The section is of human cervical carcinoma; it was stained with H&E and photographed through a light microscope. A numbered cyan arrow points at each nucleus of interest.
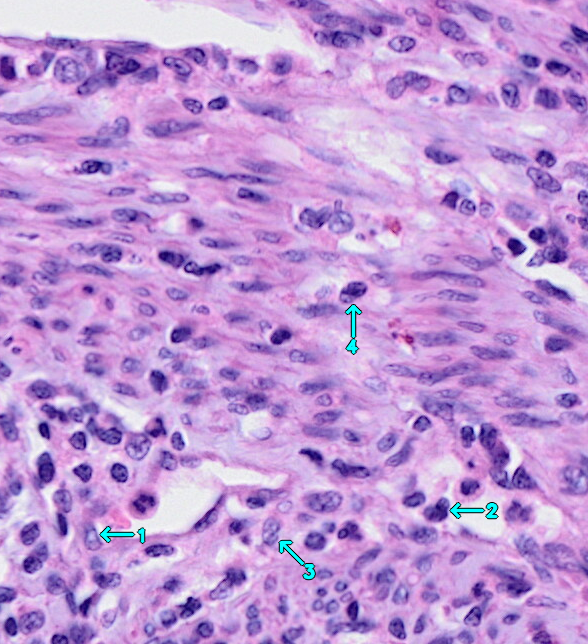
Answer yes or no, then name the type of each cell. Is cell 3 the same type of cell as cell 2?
No, the identities are a macrophage or monocyte for cell 3 and a lymphocyte for cell 2.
